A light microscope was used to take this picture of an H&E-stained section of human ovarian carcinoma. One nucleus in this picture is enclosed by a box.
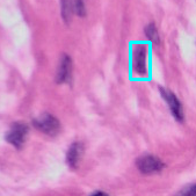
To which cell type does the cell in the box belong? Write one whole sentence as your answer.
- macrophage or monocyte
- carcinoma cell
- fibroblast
To be brief about it, the cell in the box is a fibroblast.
